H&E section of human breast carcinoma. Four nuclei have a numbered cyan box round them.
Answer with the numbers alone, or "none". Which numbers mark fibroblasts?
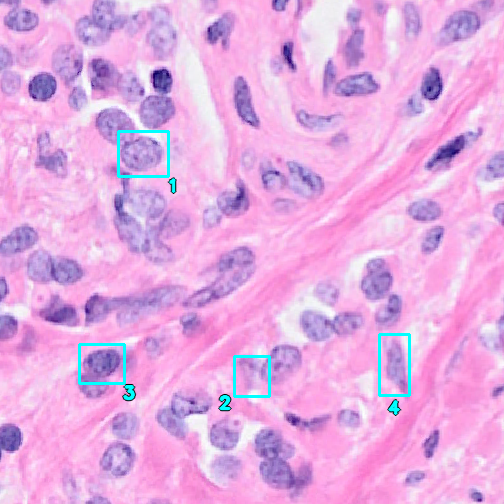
4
